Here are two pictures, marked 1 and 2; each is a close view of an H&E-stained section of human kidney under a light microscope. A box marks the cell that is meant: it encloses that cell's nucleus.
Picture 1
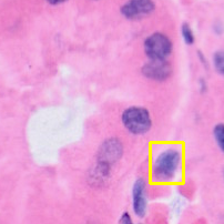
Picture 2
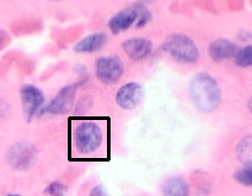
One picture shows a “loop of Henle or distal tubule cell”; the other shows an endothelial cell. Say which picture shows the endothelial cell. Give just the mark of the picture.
1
